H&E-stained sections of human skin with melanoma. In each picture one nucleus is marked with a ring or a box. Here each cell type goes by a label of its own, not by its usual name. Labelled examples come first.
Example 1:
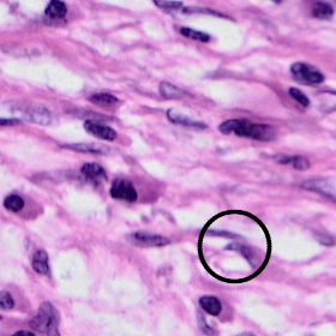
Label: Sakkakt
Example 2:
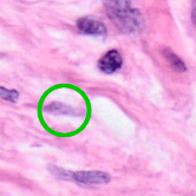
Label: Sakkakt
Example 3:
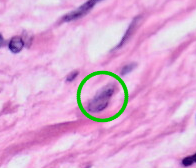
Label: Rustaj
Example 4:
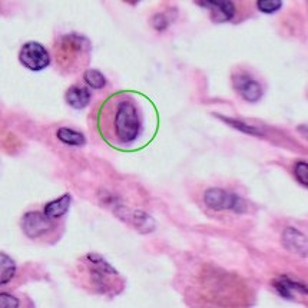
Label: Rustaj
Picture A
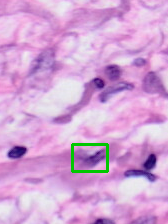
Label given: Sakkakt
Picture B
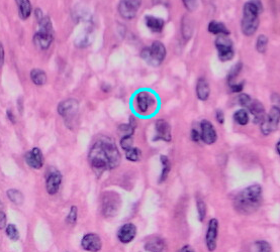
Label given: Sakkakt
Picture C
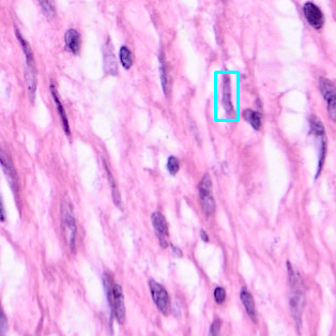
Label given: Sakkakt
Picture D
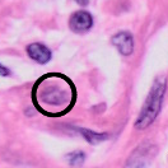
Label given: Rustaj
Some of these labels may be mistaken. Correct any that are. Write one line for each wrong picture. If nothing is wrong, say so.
Wrong: B (Sakkakt); correct: Rustaj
